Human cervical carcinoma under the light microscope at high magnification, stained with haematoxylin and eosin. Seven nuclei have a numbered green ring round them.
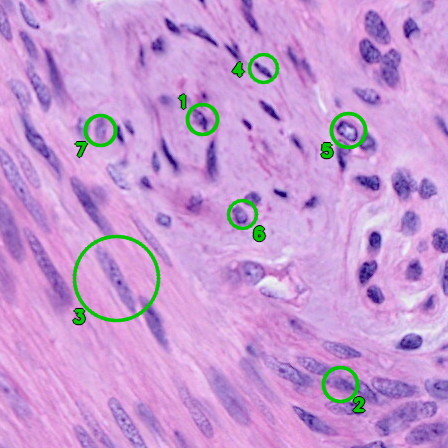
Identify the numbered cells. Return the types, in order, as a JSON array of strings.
["smooth muscle cell", "smooth muscle cell", "fibroblast", "fibroblast", "endothelial cell", "smooth muscle cell", "smooth muscle cell"]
